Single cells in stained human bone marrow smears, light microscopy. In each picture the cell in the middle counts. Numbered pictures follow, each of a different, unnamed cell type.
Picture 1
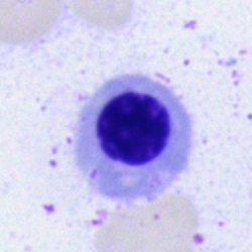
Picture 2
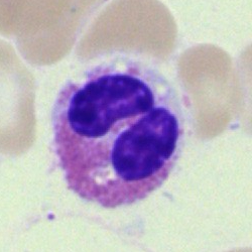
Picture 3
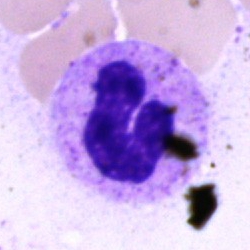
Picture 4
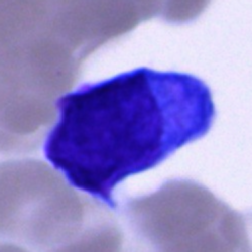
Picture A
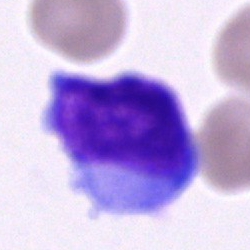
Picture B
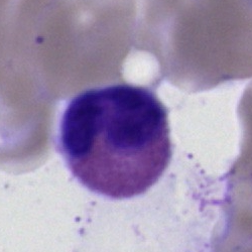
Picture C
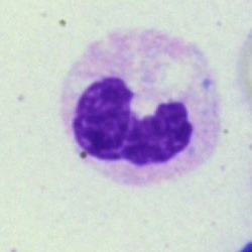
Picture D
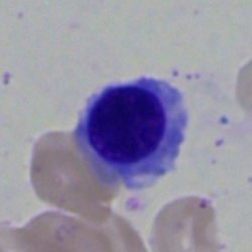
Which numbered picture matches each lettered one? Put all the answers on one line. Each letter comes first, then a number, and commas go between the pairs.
A 4, B 2, C 3, D 1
